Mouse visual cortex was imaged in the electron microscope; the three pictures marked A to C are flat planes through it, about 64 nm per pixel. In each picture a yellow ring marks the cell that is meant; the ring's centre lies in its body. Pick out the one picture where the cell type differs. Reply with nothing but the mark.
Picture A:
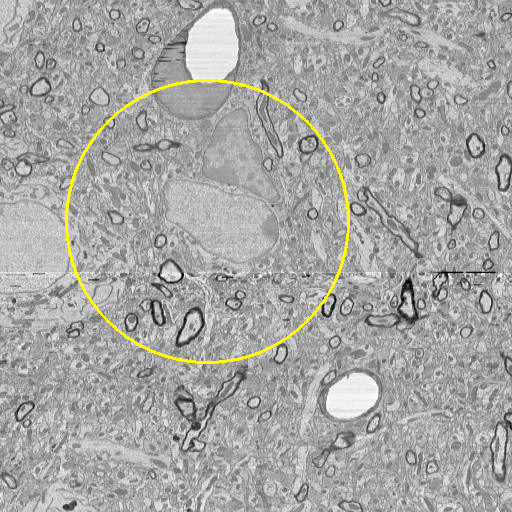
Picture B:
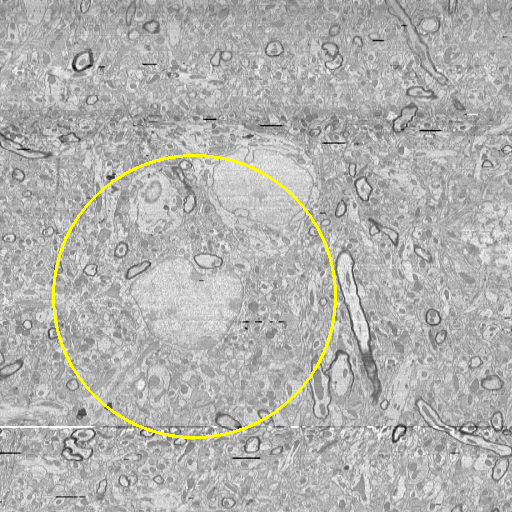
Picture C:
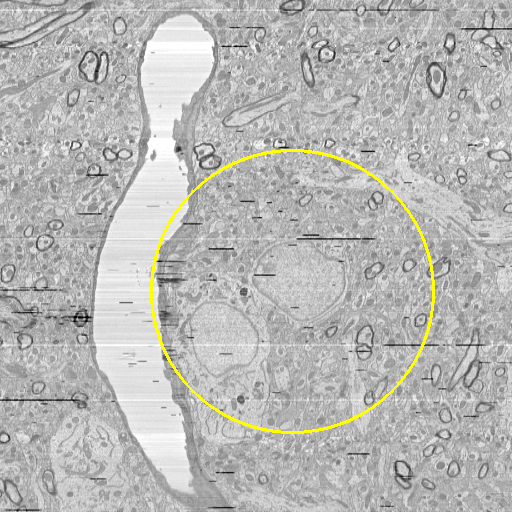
B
